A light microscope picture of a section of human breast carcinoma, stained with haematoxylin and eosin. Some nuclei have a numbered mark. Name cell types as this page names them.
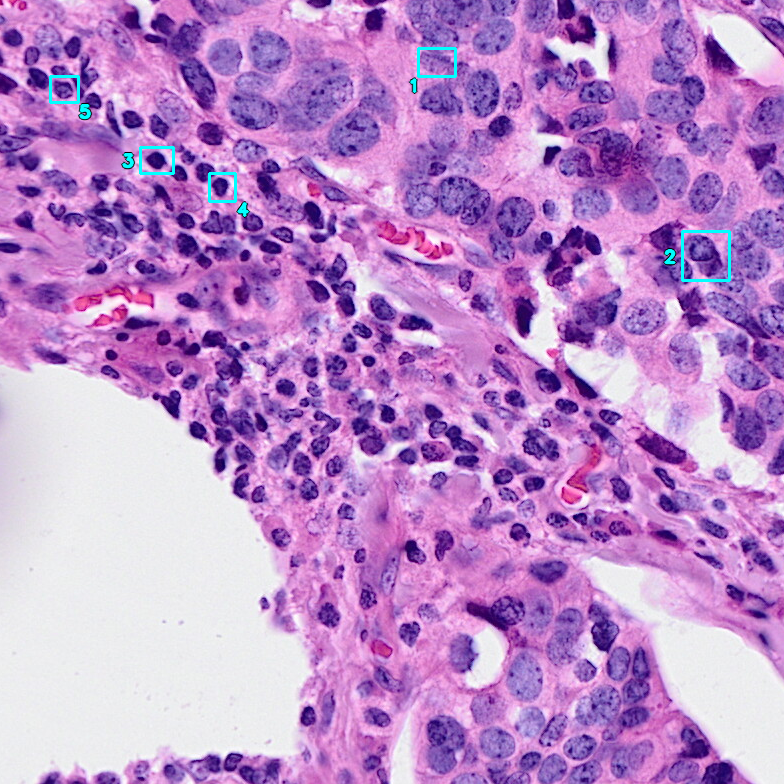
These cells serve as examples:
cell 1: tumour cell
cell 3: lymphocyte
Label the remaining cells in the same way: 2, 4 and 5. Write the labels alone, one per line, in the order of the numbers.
tumour cell
lymphocyte
lymphocyte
